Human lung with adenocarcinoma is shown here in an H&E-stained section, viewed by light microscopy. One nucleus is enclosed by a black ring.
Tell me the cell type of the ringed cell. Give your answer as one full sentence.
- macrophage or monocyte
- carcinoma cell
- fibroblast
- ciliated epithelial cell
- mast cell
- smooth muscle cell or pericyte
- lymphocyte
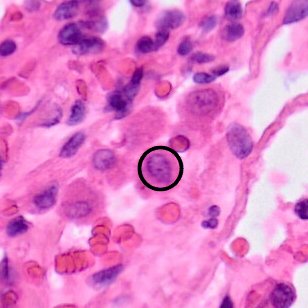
To be brief about it, the ringed cell is a macrophage or monocyte.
